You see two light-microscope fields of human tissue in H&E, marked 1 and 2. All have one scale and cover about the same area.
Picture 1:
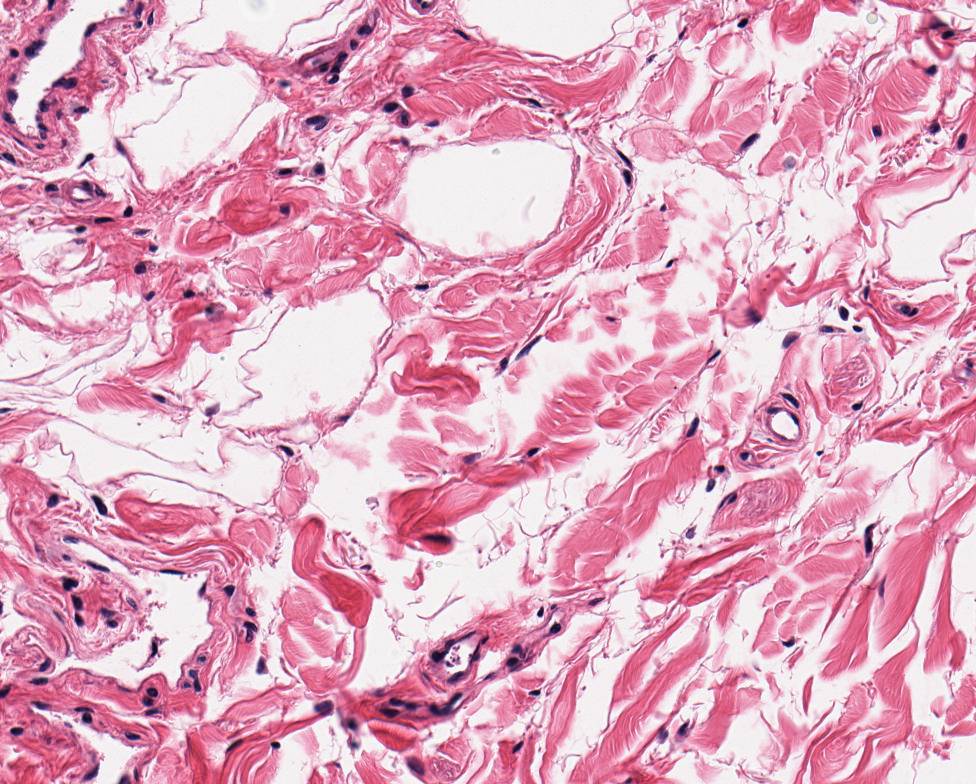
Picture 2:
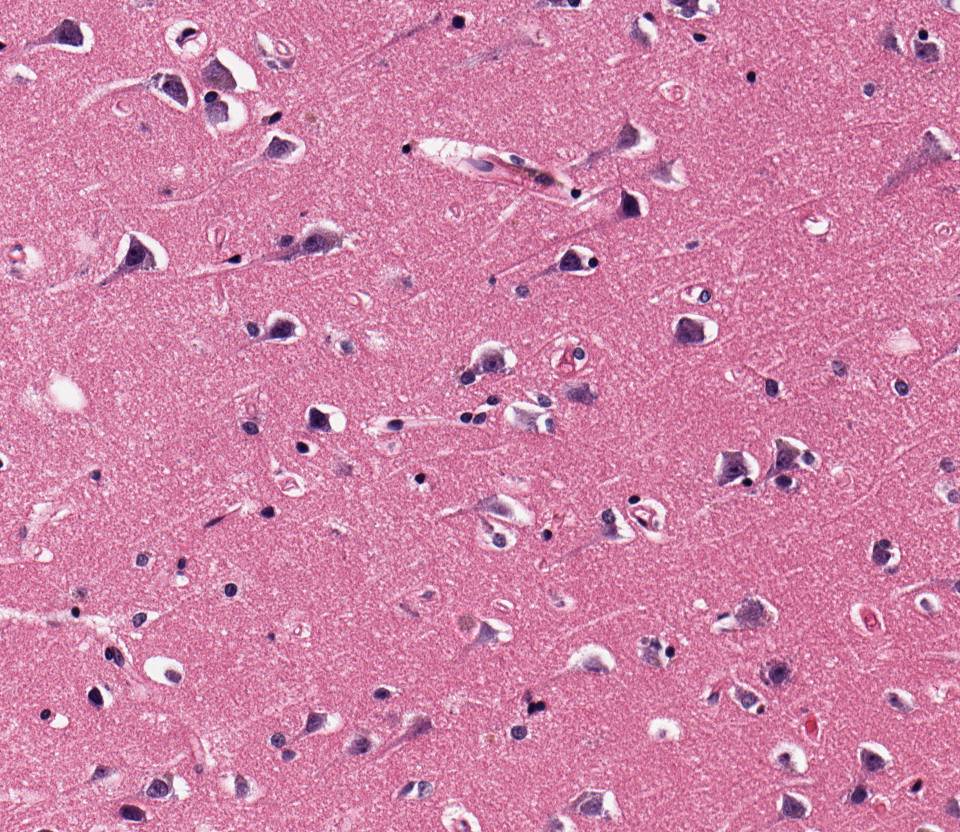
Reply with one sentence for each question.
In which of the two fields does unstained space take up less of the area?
Unstained space takes up less of picture 2 than of picture 1.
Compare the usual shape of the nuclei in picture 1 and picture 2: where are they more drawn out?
On the whole the nuclei of picture 1 are more drawn out than those of picture 2.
